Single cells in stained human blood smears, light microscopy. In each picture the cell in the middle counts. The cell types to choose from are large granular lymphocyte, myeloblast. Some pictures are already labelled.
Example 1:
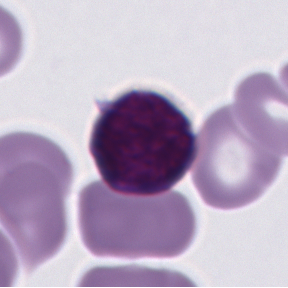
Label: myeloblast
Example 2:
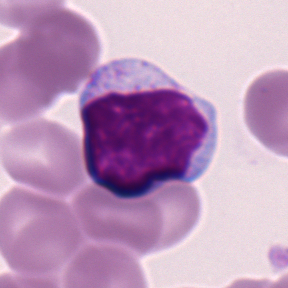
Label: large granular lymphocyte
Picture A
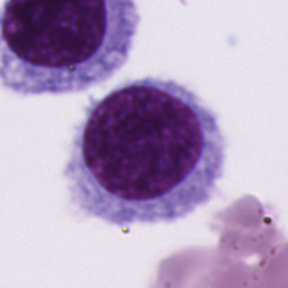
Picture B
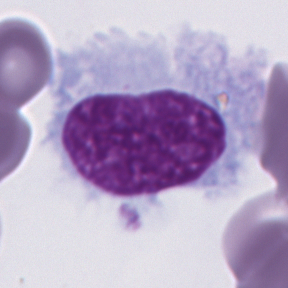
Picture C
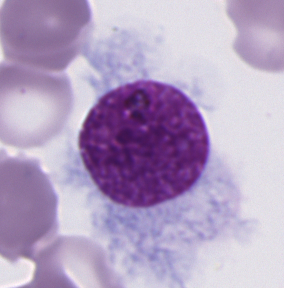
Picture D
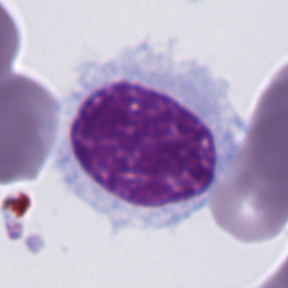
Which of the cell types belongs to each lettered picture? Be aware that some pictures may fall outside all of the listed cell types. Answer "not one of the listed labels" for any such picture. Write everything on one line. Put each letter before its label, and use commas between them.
A not one of the listed labels, B not one of the listed labels, C not one of the listed labels, D not one of the listed labels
